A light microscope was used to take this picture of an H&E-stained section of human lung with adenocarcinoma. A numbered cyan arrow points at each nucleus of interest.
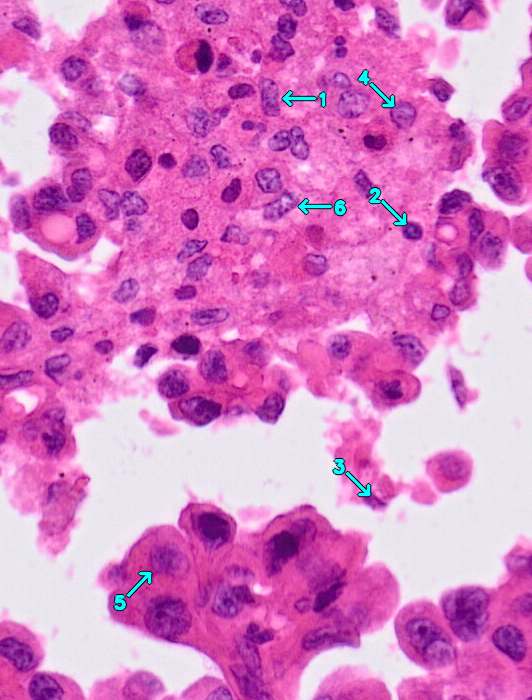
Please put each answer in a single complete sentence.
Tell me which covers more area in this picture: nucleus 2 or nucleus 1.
Number 1 is larger; its area is about 2 times that of number 2.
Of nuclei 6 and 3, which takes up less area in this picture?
The smaller nucleus is 3, and 6 covers roughly 2.5 times its area.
